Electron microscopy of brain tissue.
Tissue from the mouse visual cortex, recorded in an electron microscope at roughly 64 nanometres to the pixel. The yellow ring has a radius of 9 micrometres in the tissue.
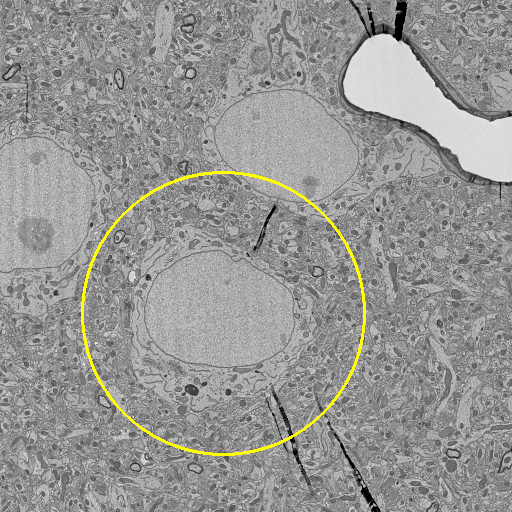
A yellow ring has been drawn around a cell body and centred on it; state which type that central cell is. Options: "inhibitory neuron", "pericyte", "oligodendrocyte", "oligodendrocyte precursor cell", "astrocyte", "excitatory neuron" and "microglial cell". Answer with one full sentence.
The cell at the middle of the yellow ring is an excitatory neuron in this picture.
